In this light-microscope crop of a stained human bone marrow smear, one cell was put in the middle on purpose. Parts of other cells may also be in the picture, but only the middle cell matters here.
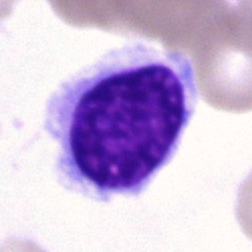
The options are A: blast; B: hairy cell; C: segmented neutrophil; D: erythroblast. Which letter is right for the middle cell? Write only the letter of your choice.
B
